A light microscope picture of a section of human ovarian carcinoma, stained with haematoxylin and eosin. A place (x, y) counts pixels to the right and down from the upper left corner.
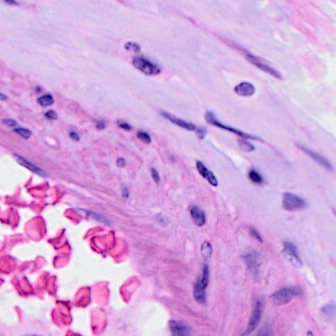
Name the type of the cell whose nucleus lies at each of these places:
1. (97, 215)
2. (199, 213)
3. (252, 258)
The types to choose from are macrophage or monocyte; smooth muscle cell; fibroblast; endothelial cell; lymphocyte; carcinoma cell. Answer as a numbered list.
1. endothelial cell
2. smooth muscle cell
3. smooth muscle cell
